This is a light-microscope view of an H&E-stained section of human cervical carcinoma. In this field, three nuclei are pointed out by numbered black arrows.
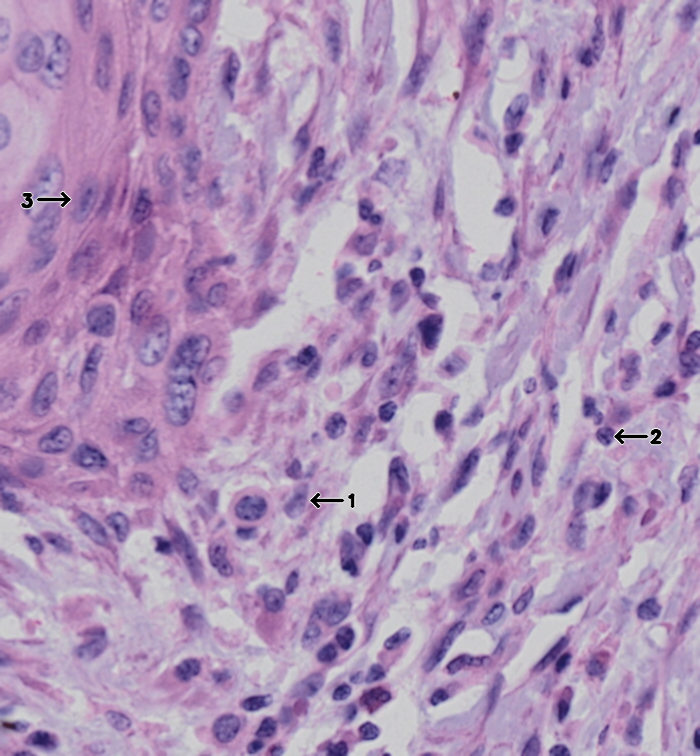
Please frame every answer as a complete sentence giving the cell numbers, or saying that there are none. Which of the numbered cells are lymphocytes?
Nothing but cell 2 is a lymphocyte among the numbered ones.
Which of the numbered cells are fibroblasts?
Cell 1 alone, of all the numbered cells, is a fibroblast.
